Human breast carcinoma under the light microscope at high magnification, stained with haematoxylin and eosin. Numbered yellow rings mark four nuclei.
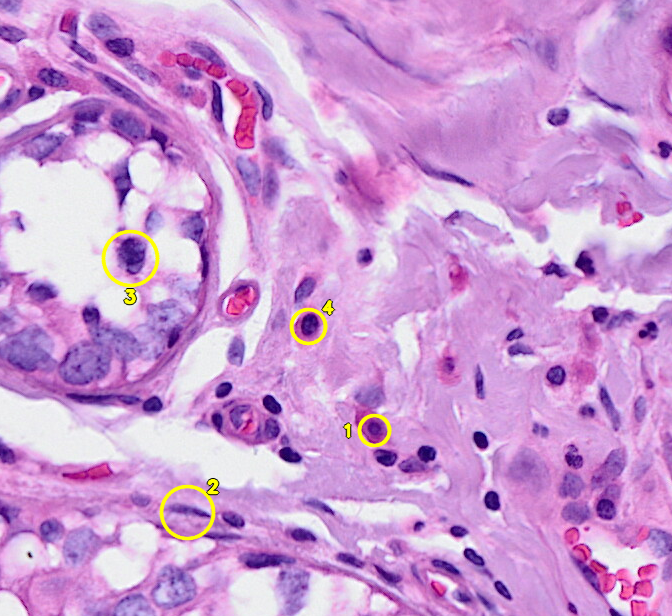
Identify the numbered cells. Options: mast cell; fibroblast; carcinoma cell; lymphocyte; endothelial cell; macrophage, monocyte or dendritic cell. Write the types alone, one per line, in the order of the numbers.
mast cell
fibroblast
carcinoma cell
mast cell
